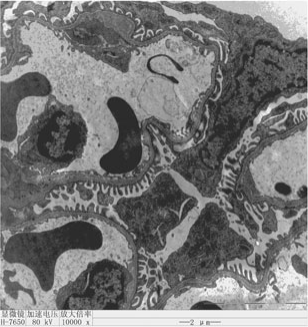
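This electron micrograph shows glomerular capillary loops separated by cells with large nuclei. Several capillary lumina contain dark, biconcave or folded red blood cells. The thin capillary walls are lined on their outer side by a regular, comb-like row of small foot processes with slits between them. Dense nuclei with clumped chromatin lie in the cells between the loops.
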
